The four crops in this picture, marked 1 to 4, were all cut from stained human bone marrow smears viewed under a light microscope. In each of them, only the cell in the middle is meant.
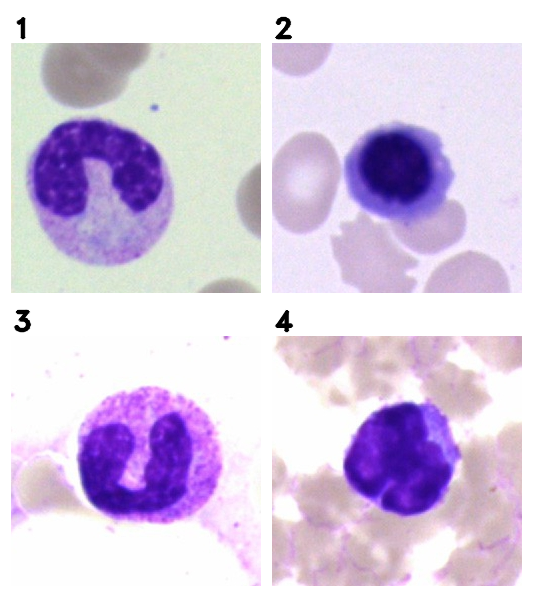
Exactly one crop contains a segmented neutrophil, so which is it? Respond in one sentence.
In the set of crops, crop 3 is the one that contains a segmented neutrophil.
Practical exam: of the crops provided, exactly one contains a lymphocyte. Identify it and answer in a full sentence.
It is crop 4 that shows a lymphocyte.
